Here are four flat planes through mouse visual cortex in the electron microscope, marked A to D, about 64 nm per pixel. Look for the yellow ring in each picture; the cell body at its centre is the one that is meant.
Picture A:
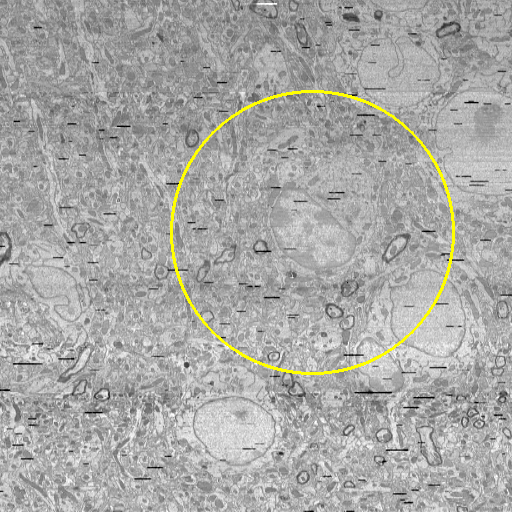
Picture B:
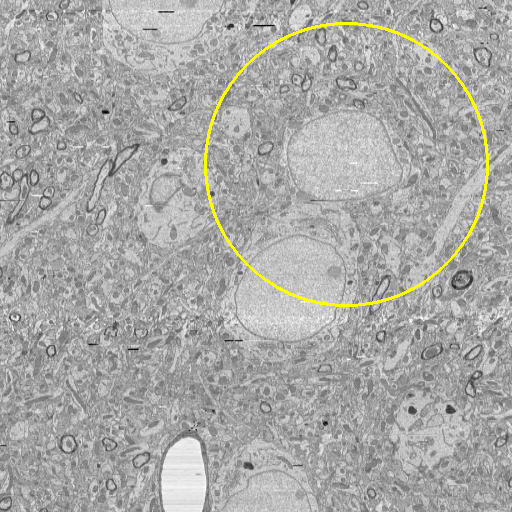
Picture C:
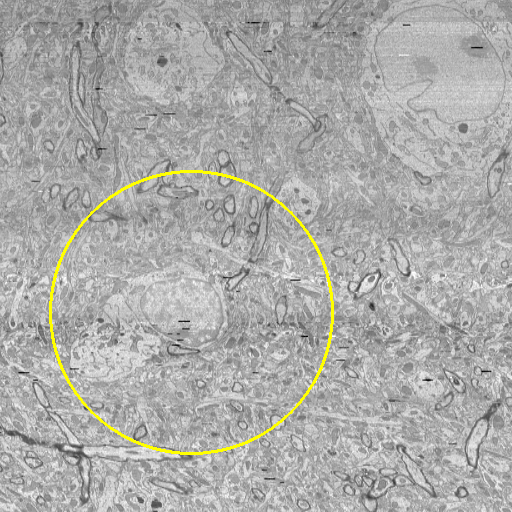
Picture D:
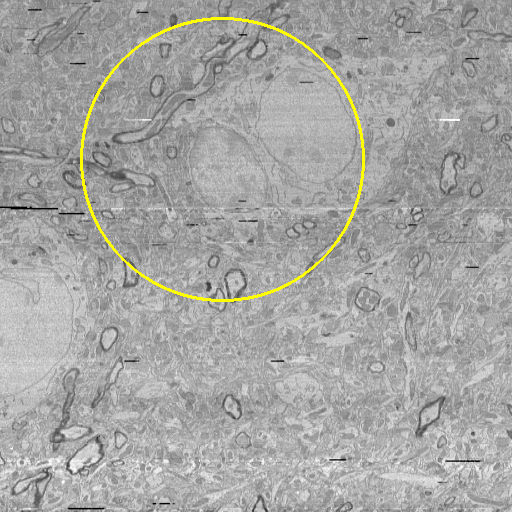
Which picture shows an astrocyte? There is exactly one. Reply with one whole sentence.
Picture B is the one that shows the astrocyte.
